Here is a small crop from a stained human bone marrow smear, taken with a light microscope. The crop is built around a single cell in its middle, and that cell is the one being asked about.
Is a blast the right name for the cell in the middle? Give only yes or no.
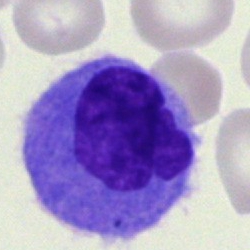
no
